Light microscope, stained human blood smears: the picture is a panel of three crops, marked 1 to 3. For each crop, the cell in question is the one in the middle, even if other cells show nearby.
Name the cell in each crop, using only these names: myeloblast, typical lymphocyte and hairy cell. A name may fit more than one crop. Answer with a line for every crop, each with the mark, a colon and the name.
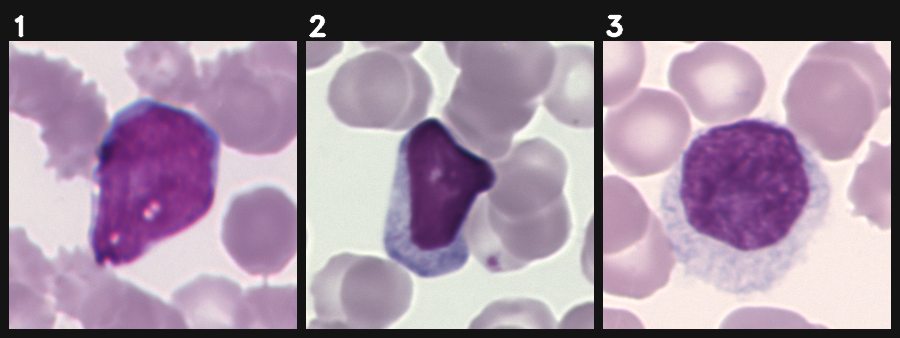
1: myeloblast
2: typical lymphocyte
3: hairy cell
